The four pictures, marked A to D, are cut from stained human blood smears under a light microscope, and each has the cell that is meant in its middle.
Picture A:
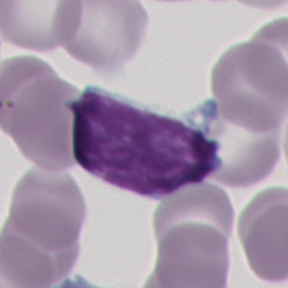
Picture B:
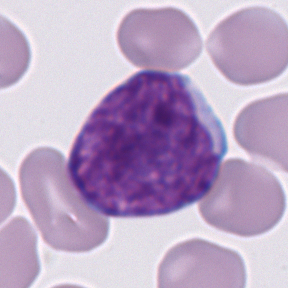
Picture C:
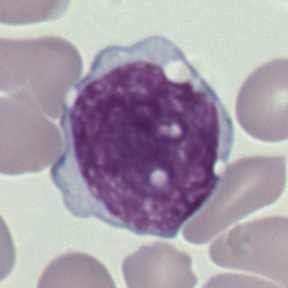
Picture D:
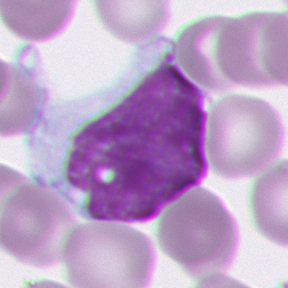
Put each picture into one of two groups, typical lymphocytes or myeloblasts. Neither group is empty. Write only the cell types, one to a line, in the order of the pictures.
typical lymphocyte
myeloblast
myeloblast
typical lymphocyte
